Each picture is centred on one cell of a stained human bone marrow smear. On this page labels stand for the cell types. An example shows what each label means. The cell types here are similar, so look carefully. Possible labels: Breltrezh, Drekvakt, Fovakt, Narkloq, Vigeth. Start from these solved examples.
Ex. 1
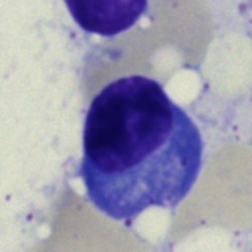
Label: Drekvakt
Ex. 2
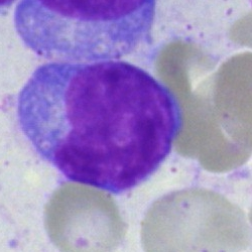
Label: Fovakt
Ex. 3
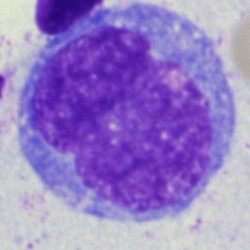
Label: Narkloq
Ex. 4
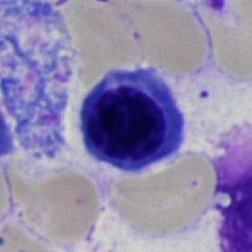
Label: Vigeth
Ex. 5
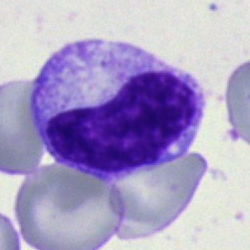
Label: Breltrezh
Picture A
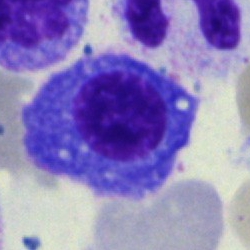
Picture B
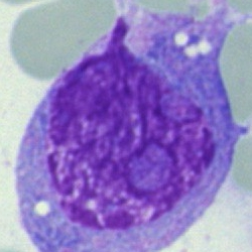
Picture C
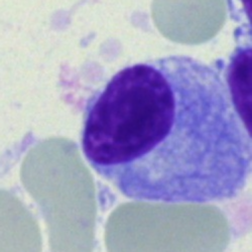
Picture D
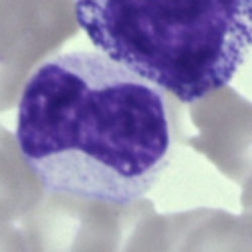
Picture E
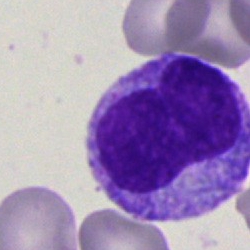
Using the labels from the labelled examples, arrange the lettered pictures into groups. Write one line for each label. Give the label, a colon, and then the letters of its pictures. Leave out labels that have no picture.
Breltrezh: D, E
Drekvakt: A, C
Fovakt: B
